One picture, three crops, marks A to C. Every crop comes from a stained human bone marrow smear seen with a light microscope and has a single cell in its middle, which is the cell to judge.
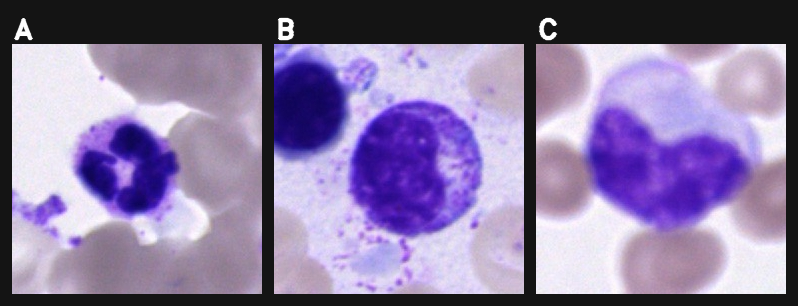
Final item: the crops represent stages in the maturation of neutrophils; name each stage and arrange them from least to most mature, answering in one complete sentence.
Least to most mature, the order stands as crop B (a myelocyte), crop C (a metamyelocyte) and crop A (a segmented neutrophil).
